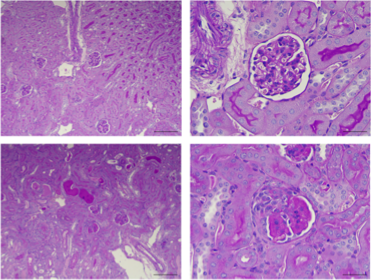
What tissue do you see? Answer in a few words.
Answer: kidneys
